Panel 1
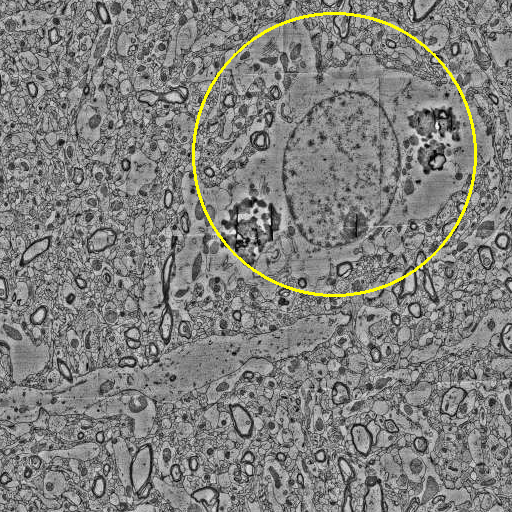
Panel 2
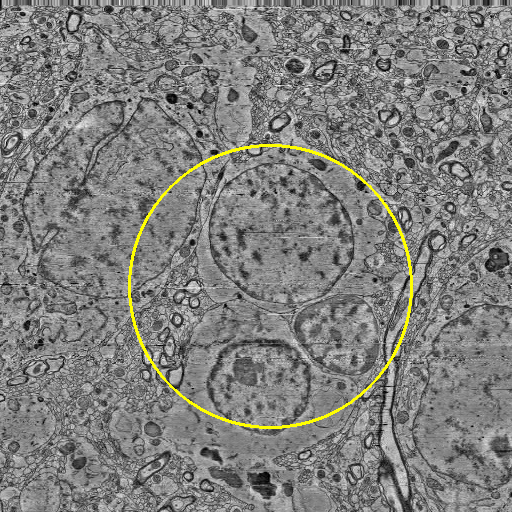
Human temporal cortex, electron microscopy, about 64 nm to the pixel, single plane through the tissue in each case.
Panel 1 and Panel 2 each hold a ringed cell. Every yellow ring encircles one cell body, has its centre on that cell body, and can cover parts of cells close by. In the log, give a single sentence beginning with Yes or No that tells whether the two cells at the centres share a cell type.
Yes, in Panel 1 and Panel 2 the centred cells share a cell type.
